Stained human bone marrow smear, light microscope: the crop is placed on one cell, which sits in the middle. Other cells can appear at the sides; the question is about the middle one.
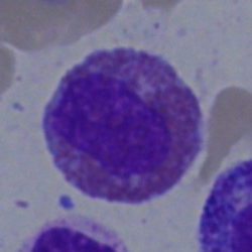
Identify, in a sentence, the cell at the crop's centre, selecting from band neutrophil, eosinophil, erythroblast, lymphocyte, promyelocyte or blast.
The identification for the central cell is an eosinophil.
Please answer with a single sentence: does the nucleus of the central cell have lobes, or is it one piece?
Its nucleus is compact and single, with a round, oval or kidney-shaped form.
